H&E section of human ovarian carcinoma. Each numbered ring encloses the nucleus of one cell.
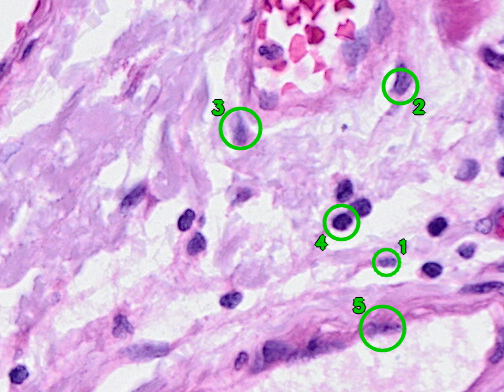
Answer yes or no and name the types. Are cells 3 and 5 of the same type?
No, that's wrong; cell 3 is a fibroblast and cell 5 is an endothelial cell.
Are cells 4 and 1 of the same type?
Yes, both cell 4 and cell 1 are classified as lymphocytes.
